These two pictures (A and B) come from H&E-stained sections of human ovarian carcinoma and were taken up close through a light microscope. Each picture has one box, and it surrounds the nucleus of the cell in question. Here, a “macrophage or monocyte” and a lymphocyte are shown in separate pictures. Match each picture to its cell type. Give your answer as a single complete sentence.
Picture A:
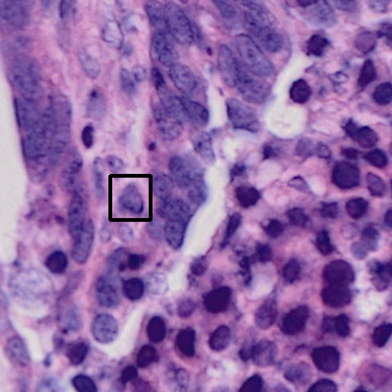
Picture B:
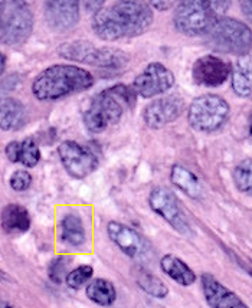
Picture A is of a “macrophage or monocyte”, and picture B is of a lymphocyte.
